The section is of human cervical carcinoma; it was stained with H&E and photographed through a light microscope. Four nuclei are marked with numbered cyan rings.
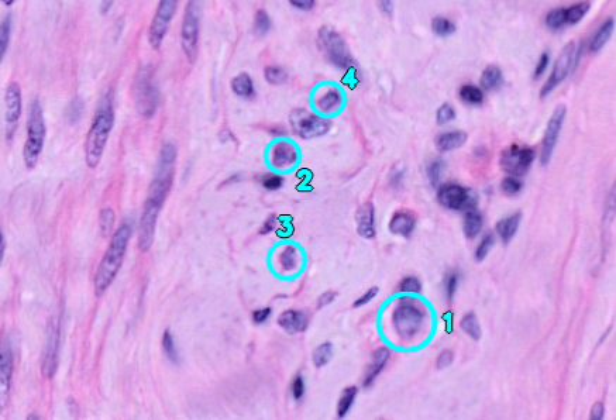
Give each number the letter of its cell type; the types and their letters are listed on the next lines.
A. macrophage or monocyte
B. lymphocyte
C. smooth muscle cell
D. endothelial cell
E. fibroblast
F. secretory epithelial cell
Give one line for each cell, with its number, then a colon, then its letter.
1: D
2: C
3: C
4: C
